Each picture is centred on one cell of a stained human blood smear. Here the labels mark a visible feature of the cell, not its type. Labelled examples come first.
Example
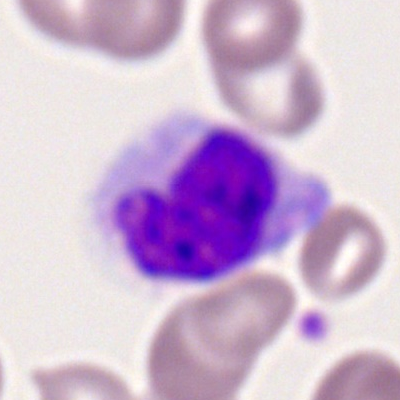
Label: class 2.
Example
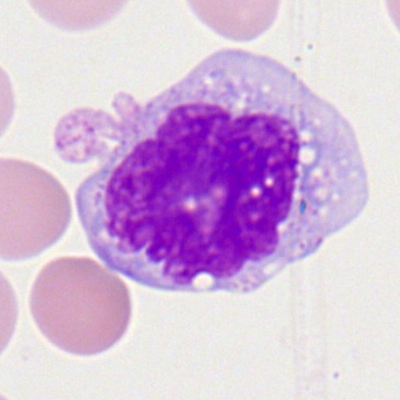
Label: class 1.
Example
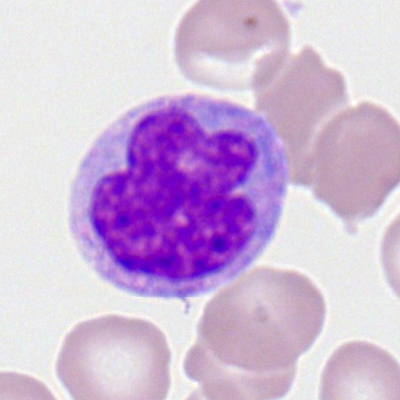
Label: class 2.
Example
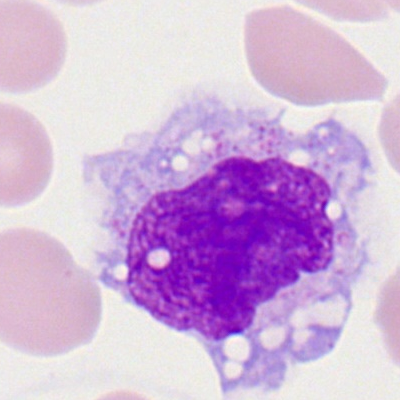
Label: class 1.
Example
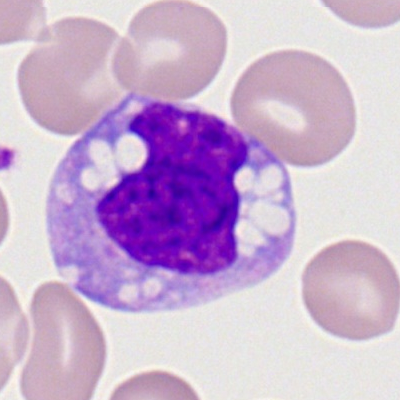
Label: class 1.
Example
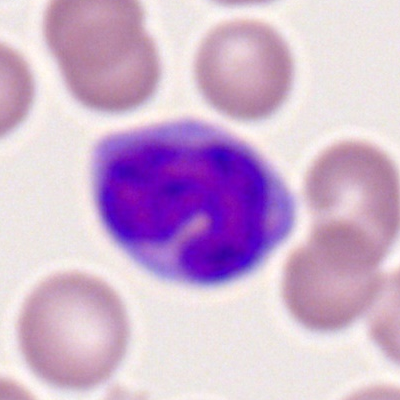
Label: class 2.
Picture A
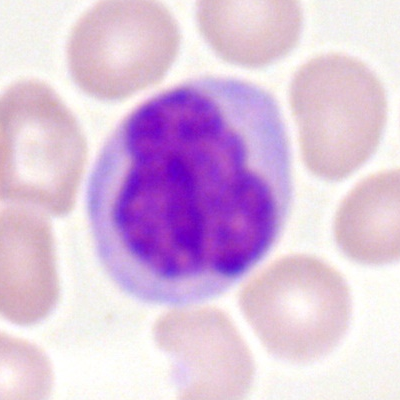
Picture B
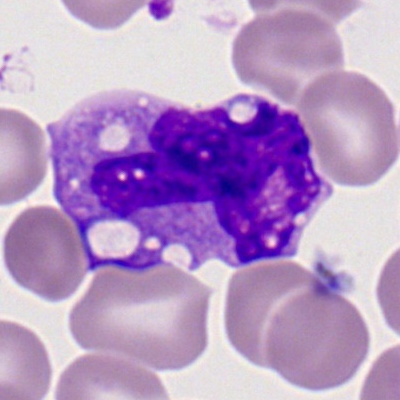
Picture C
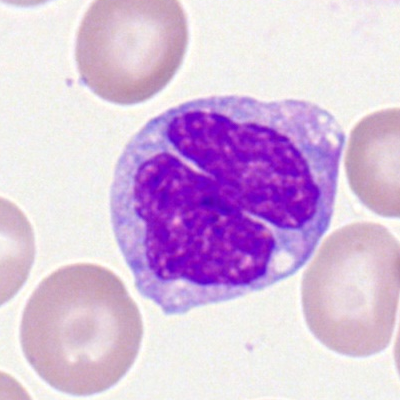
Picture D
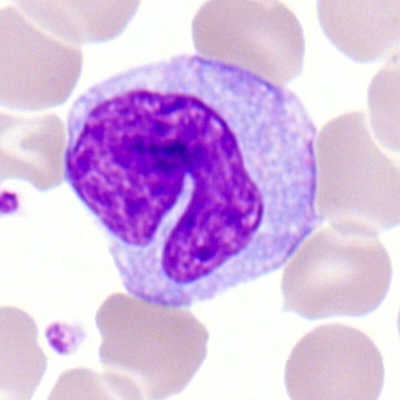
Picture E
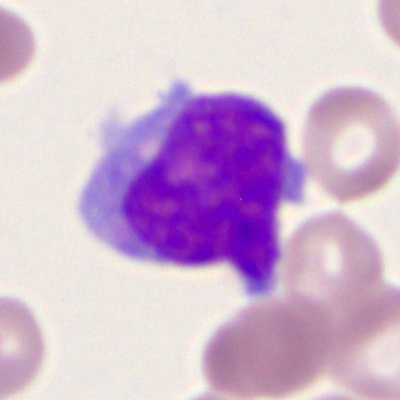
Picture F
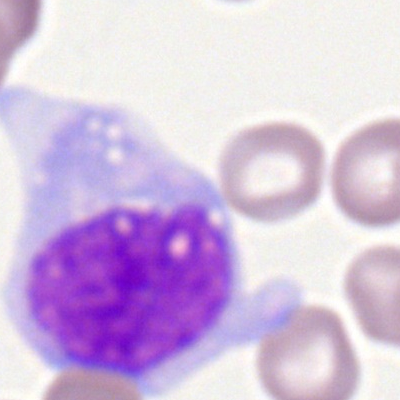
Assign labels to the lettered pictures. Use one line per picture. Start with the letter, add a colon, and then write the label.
A: class 2.
B: class 1.
C: class 1.
D: class 2.
E: class 2.
F: class 1.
